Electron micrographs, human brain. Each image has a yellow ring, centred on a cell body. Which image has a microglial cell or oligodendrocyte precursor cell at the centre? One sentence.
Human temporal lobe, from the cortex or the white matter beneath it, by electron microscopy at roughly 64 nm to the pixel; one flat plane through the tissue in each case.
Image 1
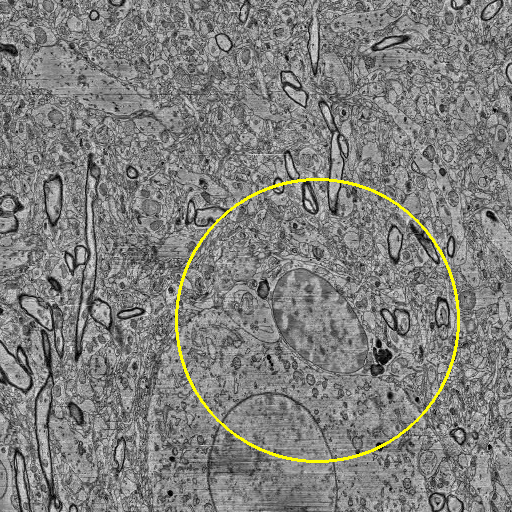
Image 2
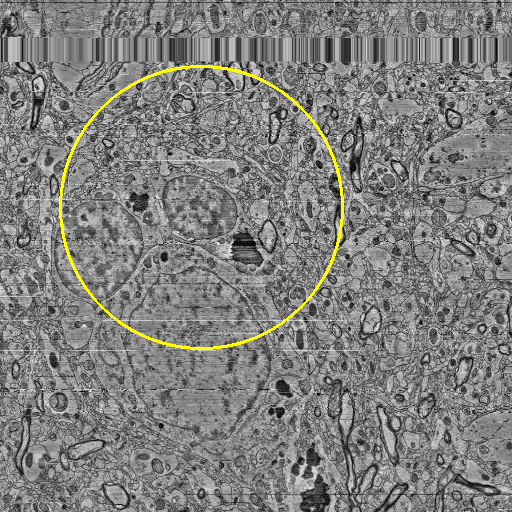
The ring in Image 1 is centred on it.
